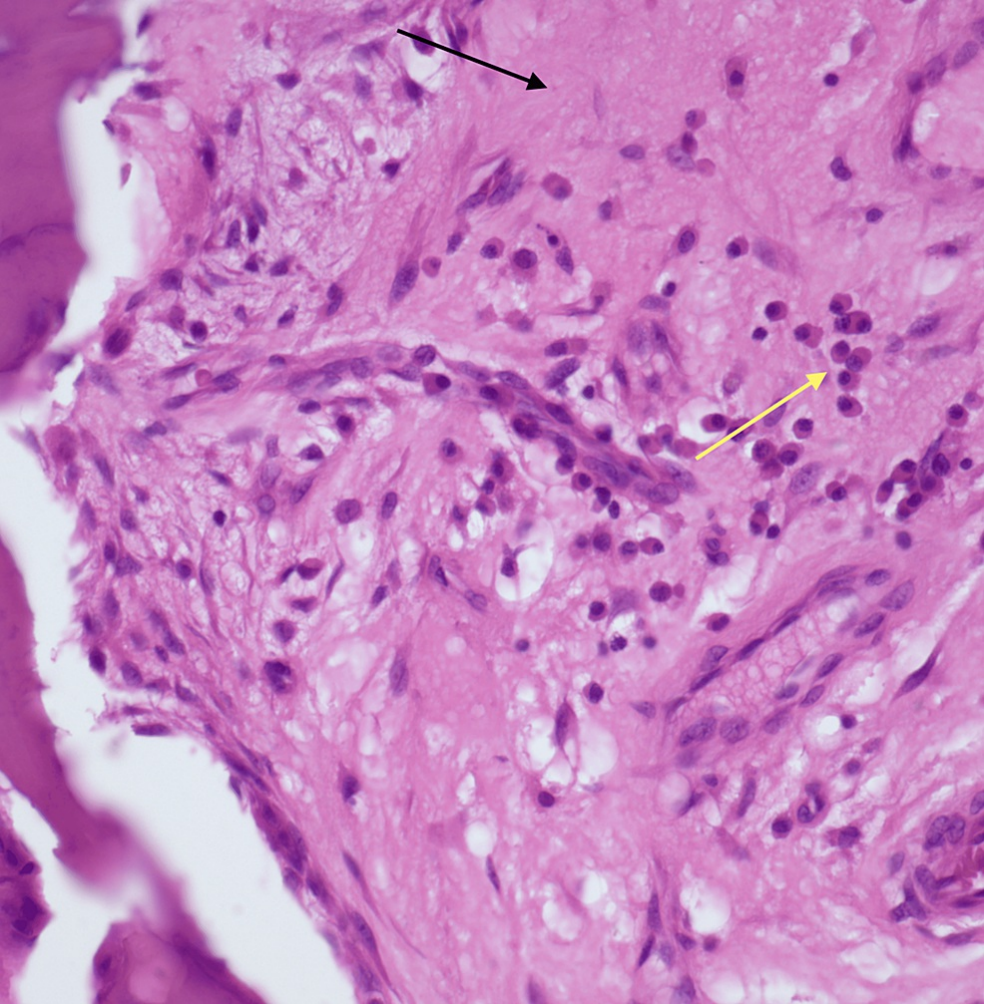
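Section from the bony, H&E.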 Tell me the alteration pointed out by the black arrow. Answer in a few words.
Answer: fibrosis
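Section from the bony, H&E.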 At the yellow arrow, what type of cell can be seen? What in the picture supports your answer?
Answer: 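Plasma cells. A tight cluster of small round cells with dark, round nuclei. The cells have a rim of pink cytoplasm, larger than the nuclei alone. They lie scattered in pale fibrous stroma.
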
